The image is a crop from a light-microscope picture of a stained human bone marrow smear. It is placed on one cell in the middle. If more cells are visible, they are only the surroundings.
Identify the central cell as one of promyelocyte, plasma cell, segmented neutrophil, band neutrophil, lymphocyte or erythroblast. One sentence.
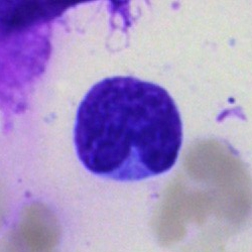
On this slide crop, the central cell is a lymphocyte.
